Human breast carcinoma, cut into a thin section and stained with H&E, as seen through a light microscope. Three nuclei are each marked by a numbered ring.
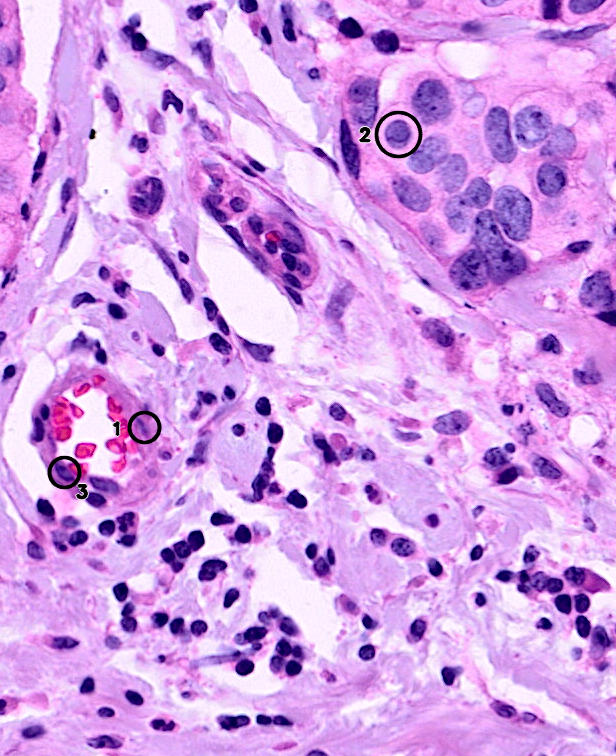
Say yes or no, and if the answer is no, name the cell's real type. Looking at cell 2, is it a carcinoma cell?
Yes.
